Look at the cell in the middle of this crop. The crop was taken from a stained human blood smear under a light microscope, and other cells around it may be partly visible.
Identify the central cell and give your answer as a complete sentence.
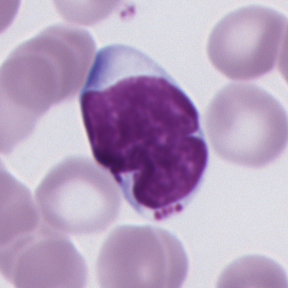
What sits at the centre of this crop is a large granular lymphocyte.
